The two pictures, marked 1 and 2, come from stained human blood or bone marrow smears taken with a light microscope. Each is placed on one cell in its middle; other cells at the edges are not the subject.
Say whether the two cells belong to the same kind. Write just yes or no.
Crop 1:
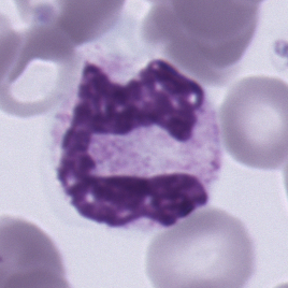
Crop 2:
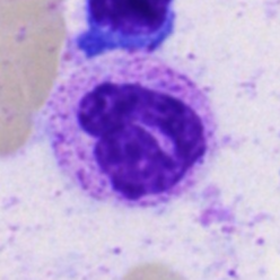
yes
